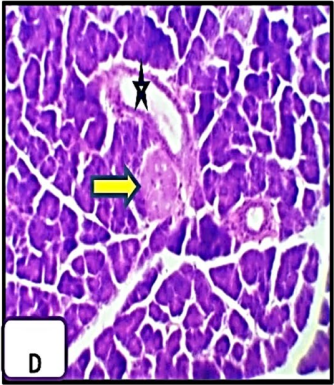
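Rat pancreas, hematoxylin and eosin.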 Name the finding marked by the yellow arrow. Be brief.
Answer: distorted islets of Langerhans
